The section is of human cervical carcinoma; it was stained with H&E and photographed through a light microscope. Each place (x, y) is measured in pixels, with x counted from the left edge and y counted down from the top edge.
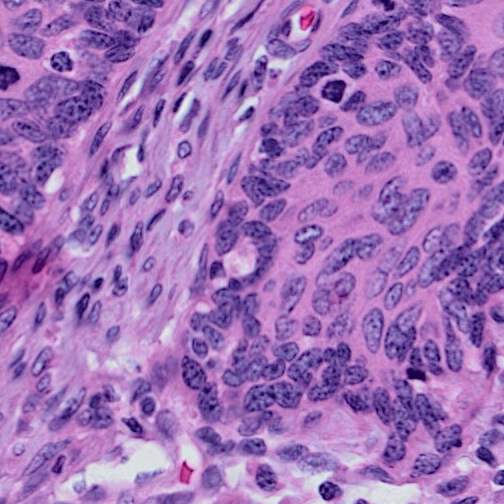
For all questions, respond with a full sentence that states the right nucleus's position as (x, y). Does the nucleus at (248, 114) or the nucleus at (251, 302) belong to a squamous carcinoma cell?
Of the two, the nucleus lying at (251, 302) is the one belonging to a squamous carcinoma cell.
